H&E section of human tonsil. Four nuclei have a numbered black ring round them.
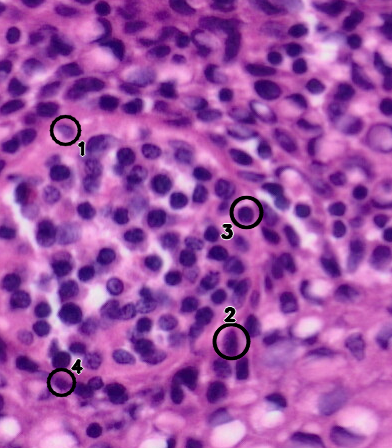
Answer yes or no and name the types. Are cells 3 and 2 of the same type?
No, cell 3 is identified as a plasma cell, and cell 2 is identified as a squamous epithelial cell.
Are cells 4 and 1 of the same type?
No, that's off: cell 4 is a squamous epithelial cell and cell 1 is an endothelial cell.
